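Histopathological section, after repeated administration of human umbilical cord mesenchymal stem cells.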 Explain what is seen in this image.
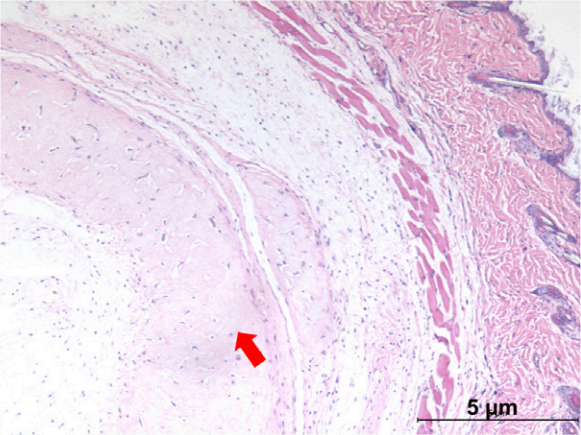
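Skin in low magnification with the epidermis and hair follicles along the upper right edge, a broad dermis of wavy pink collagen bundles, and beneath it a band of deep pink skeletal muscle fibres cut lengthwise. Deep to the muscle lies a large rounded mass of pale pink, loosely textured tissue with scattered small purple nuclei, enclosed by concentric layers of looser fibrous tissue with spindle-shaped nuclei. The mass occupies most of the left half of the field and pushes against the overlying layers.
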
